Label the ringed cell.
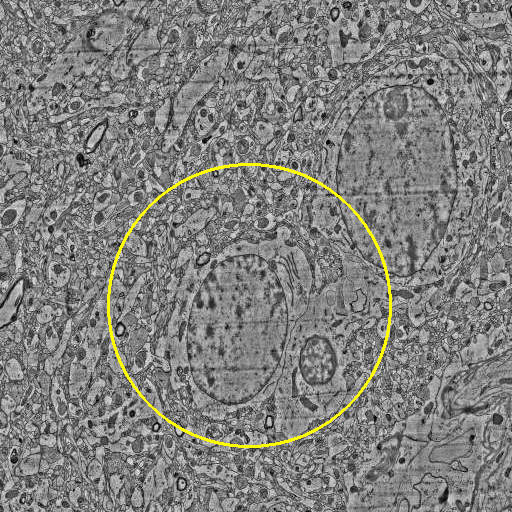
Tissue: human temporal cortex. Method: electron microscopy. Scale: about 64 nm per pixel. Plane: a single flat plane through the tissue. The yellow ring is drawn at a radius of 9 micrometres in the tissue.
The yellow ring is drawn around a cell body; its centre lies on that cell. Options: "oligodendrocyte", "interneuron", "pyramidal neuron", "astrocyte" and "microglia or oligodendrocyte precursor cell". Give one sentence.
The ringed cell is an astrocyte.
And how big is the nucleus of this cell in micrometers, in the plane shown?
In this plane the nucleus measures roughly 10 by 7 micrometres.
